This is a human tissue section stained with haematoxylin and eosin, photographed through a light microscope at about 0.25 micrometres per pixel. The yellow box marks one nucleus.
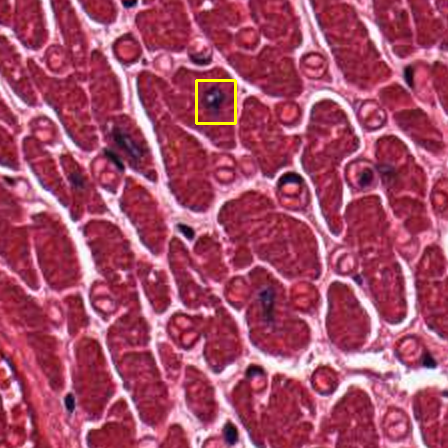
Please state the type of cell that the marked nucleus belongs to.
cardiomyocyte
